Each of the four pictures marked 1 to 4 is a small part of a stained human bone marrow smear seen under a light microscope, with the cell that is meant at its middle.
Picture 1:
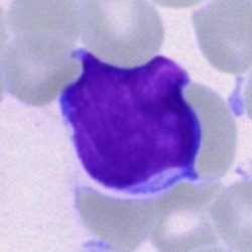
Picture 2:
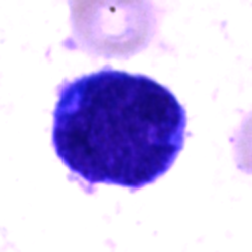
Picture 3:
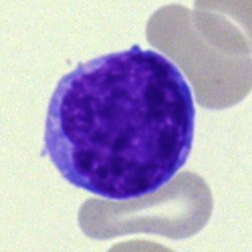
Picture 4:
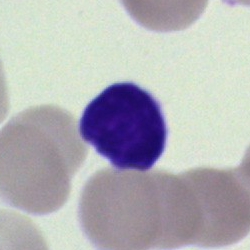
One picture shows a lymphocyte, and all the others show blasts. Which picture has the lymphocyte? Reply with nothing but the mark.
4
